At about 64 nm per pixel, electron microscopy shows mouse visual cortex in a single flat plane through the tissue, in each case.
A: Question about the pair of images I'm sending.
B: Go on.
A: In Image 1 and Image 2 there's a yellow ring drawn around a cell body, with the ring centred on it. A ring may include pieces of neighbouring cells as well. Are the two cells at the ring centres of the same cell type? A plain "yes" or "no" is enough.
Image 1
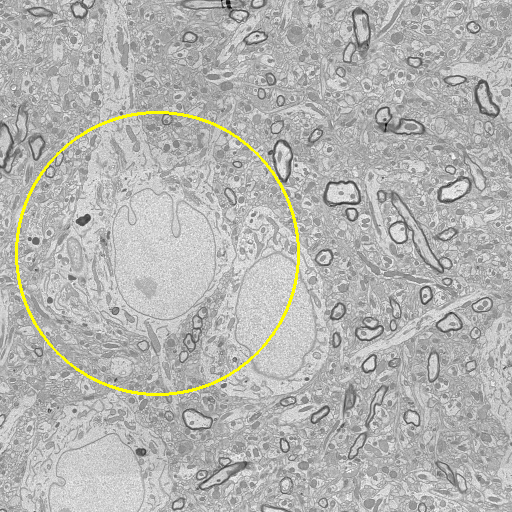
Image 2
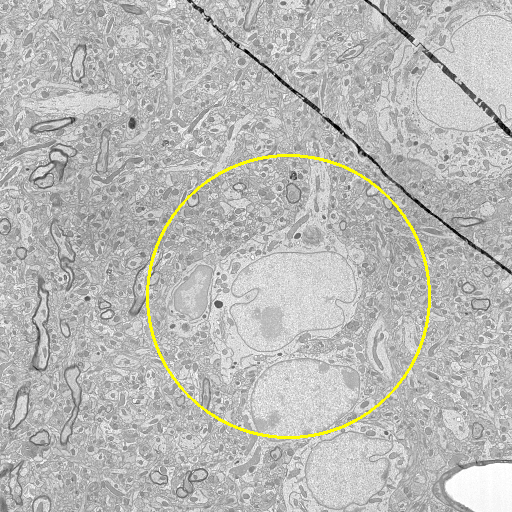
yes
